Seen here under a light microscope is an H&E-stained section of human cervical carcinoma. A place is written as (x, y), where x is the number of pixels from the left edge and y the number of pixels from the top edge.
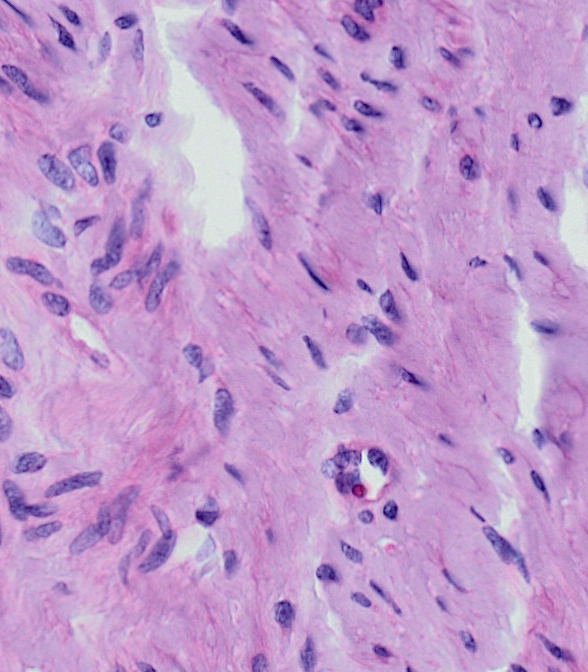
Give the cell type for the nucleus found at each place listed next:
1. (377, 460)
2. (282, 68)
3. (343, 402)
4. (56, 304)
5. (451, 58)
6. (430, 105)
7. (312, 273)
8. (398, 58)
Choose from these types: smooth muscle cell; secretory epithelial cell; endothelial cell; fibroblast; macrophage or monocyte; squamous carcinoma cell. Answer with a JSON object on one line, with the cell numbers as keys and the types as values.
{"1": "endothelial cell", "2": "fibroblast", "3": "fibroblast", "4": "endothelial cell", "5": "smooth muscle cell", "6": "smooth muscle cell", "7": "fibroblast", "8": "fibroblast"}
